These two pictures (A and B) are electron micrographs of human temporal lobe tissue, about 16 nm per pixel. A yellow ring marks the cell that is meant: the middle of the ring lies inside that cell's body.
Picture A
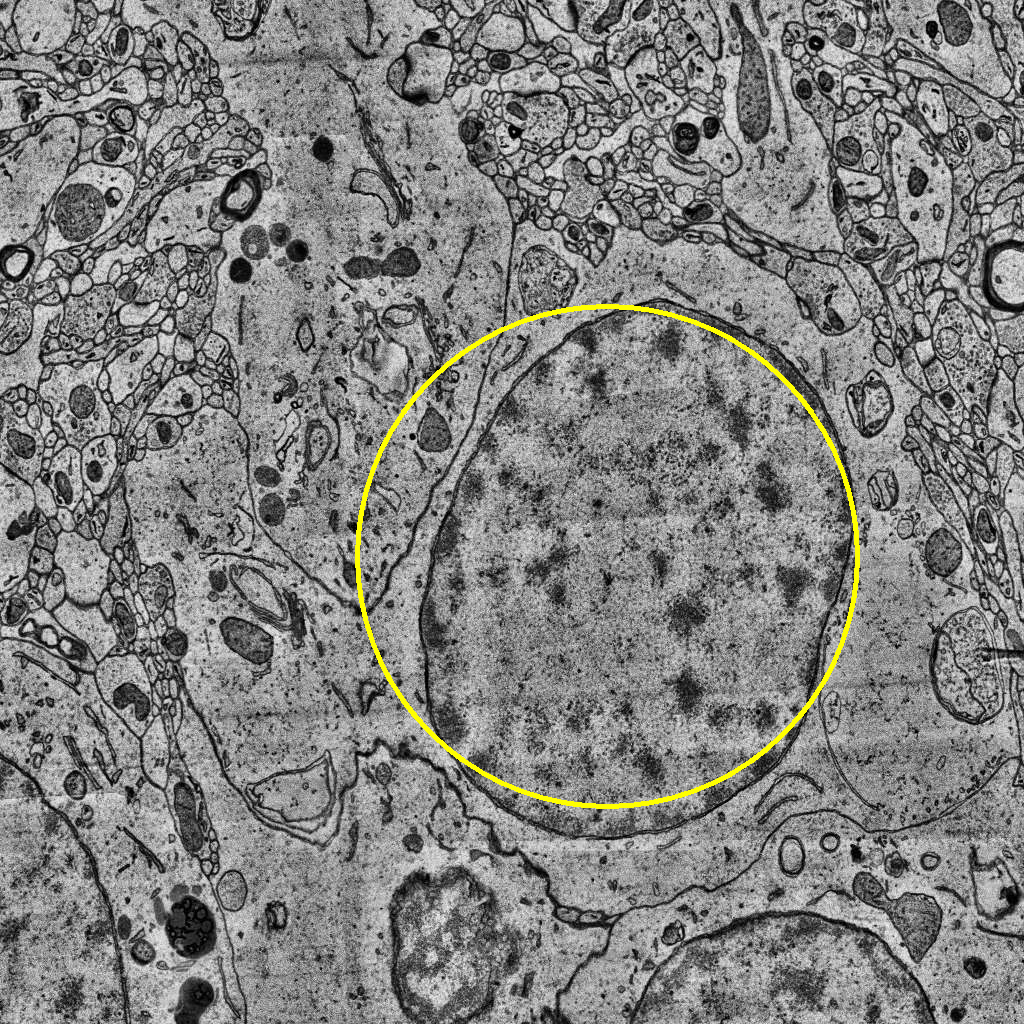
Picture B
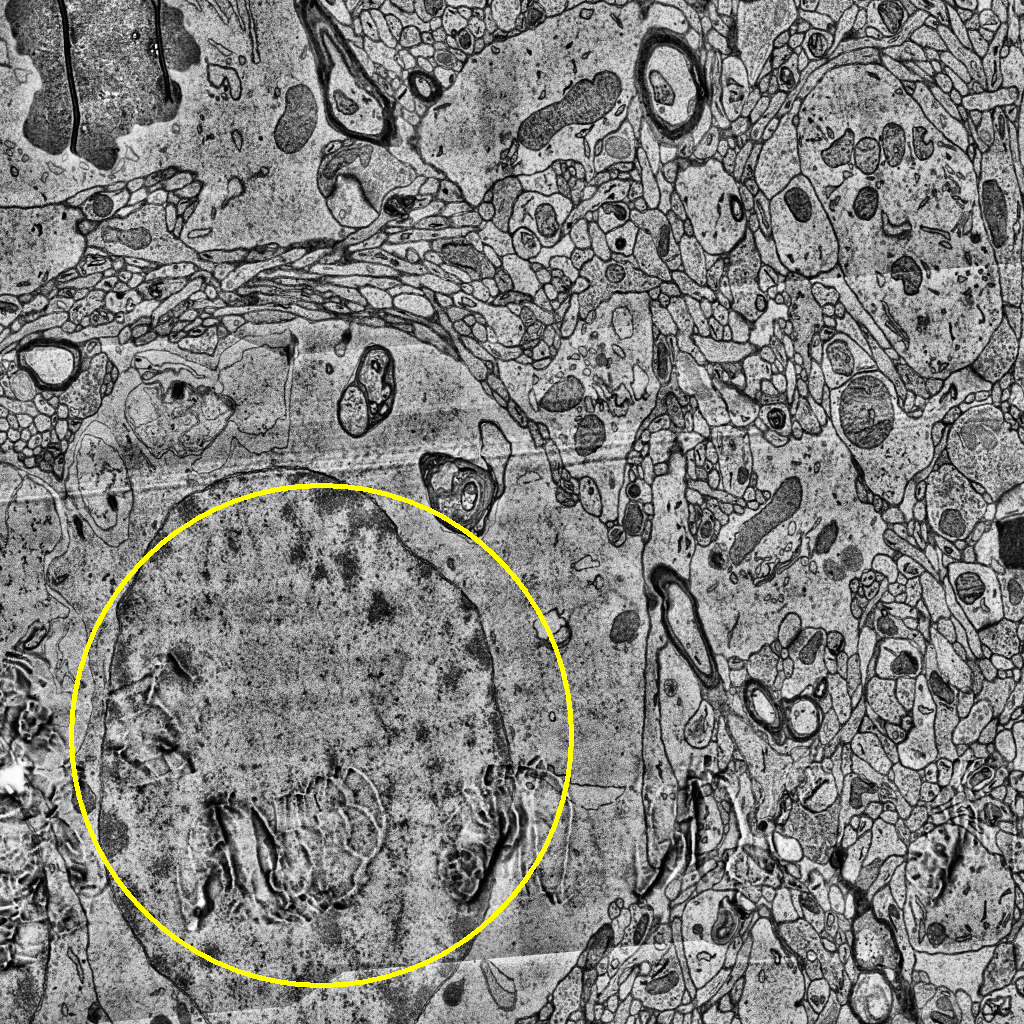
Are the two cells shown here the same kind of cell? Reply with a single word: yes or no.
yes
